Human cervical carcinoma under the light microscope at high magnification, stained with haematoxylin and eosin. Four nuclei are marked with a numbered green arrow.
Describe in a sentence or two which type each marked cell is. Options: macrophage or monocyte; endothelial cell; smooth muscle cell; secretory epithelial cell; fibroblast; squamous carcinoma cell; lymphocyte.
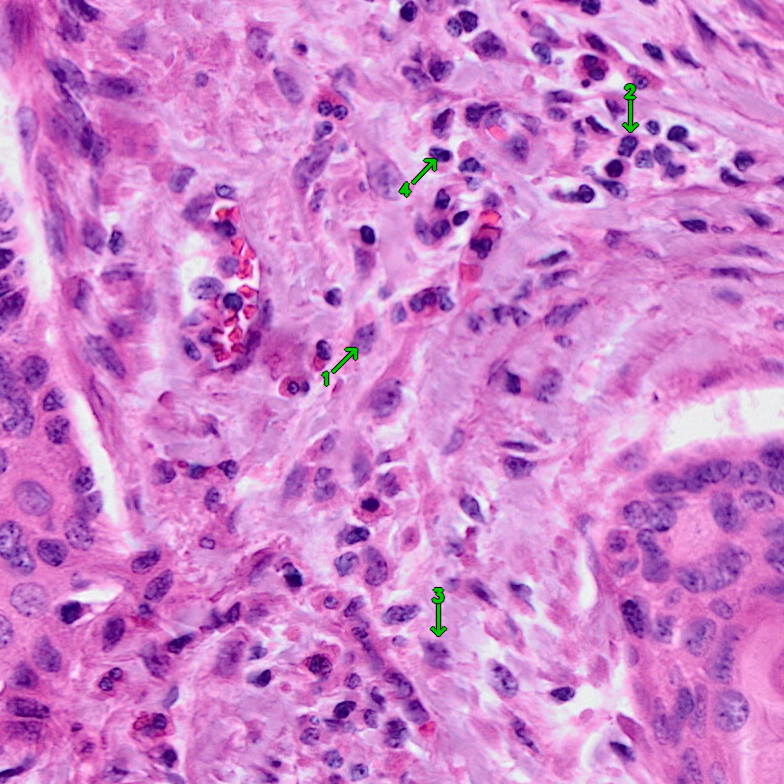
Cell 1 is a macrophage or monocyte, cell 2 is a lymphocyte, cell 3 is a fibroblast and cell 4 is a lymphocyte.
